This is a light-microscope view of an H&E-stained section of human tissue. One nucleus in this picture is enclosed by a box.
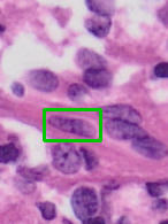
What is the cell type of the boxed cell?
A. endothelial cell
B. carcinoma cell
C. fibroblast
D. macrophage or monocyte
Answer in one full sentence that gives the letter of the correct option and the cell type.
In this section the boxed cell is an endothelial cell; option A is therefore correct.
